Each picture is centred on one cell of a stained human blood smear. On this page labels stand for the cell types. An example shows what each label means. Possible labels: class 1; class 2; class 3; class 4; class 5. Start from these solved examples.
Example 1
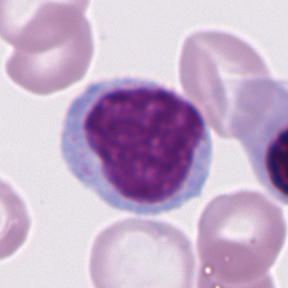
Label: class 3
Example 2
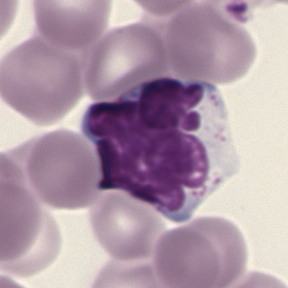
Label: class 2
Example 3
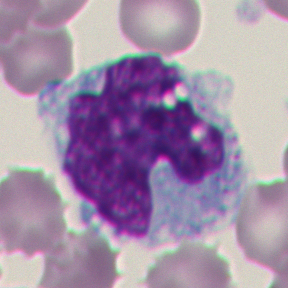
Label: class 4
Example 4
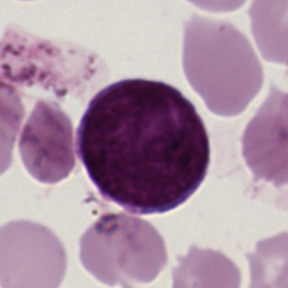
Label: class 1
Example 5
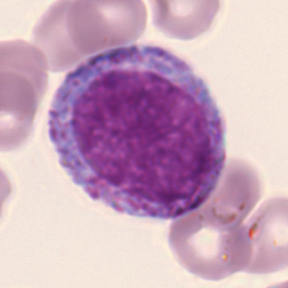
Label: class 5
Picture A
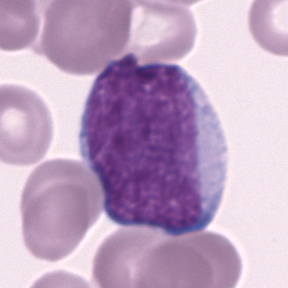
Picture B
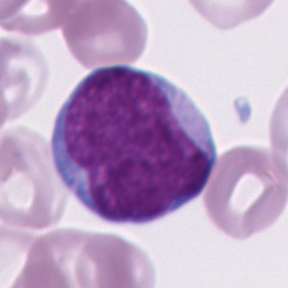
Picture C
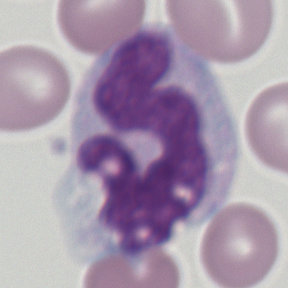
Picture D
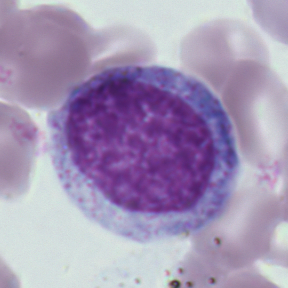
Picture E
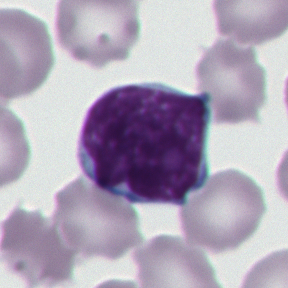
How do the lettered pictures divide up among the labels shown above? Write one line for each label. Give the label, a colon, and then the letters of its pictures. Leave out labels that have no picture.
class 1: A, B
class 3: E
class 4: C
class 5: D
